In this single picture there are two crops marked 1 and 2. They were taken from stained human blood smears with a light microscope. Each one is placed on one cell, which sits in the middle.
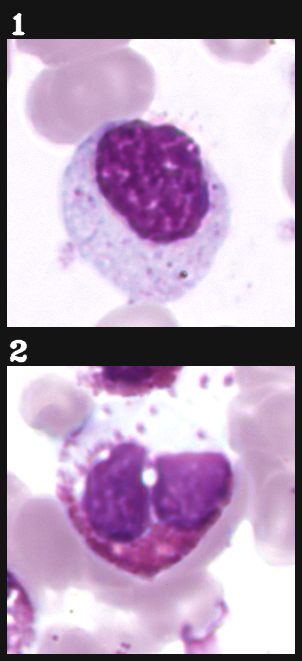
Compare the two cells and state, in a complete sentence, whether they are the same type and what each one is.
No, crop 1 captures a myelocyte, and crop 2 captures an eosinophil.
